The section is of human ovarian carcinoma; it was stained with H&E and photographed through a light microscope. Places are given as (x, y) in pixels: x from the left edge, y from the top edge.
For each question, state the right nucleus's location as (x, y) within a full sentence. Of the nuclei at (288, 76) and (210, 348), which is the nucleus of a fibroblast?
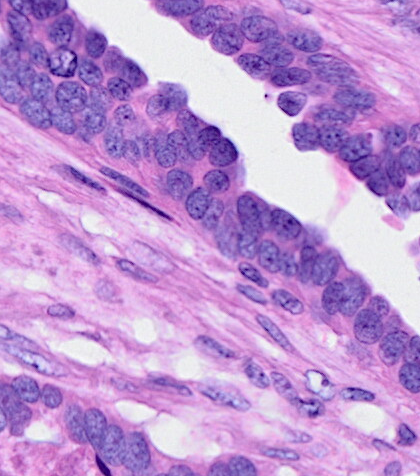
Out of the two, it is the nucleus at (210, 348) that belongs to a fibroblast.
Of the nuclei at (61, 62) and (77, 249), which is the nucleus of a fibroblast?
It is the nucleus at (77, 249), not the other one, that belongs to a fibroblast.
